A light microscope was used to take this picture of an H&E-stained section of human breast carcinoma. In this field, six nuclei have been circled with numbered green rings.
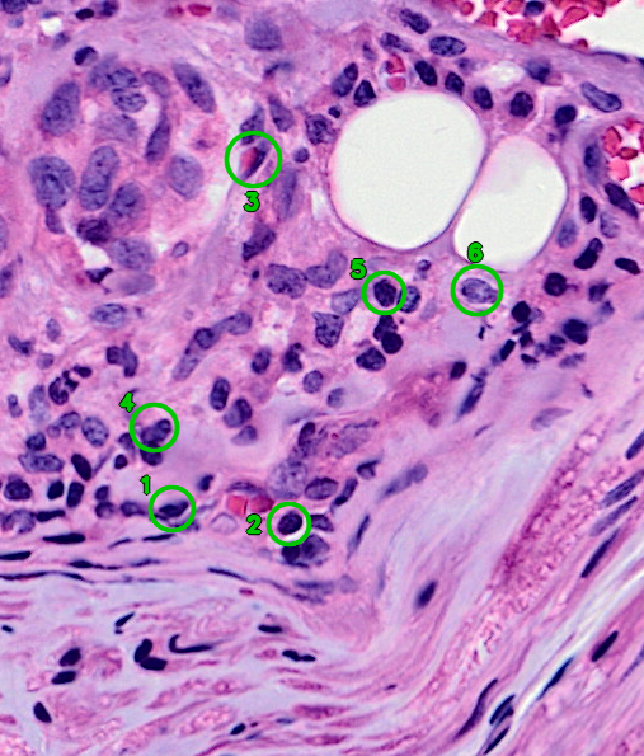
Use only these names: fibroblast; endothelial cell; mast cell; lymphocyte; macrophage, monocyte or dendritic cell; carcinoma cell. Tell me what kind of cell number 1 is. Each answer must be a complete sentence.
The cell marked with the number 1 is a lymphocyte.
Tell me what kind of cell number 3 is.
Denoted by the label 3 in the section is an endothelial cell.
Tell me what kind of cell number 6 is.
Belonging to a macrophage, monocyte or dendritic cell is the nucleus that carries the number 6.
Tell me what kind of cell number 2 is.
The numeral 2 marks a lymphocyte in this section.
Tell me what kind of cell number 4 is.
Corresponding to a lymphocyte is the cell labelled 4.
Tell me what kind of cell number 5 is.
The cell identified by the number 5 is a lymphocyte.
